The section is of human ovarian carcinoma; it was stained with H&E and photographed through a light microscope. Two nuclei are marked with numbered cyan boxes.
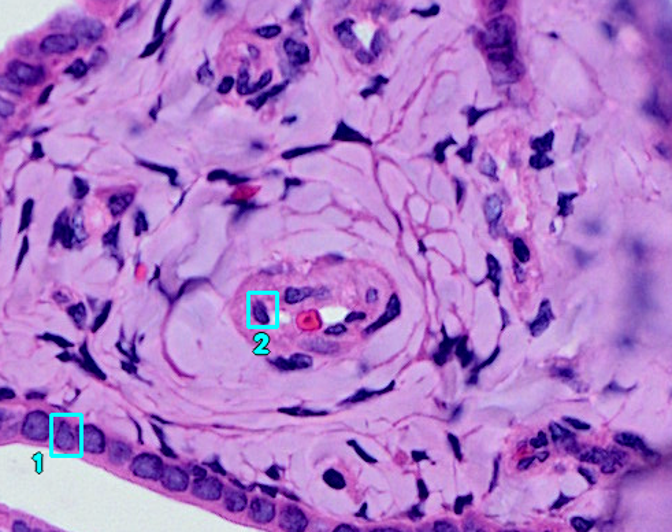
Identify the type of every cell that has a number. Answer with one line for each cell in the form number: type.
1: carcinoma cell
2: endothelial cell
